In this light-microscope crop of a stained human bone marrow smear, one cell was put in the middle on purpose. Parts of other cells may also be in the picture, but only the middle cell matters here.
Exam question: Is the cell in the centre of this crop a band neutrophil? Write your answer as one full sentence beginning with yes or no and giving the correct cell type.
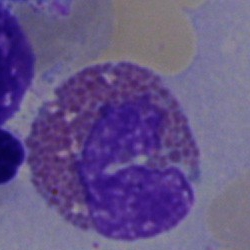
No, what is centred in the crop is not a band neutrophil but an eosinophil.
